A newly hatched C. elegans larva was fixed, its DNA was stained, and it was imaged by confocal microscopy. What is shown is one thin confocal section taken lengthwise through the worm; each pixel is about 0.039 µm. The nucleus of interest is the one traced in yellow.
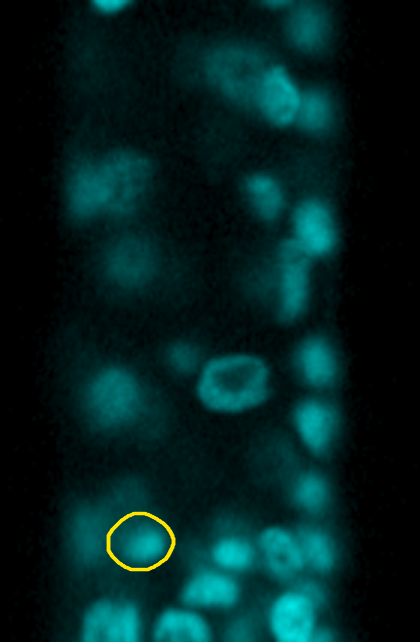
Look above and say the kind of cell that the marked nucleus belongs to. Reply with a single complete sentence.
What is marked is the nucleus of a valve cell of the gut.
